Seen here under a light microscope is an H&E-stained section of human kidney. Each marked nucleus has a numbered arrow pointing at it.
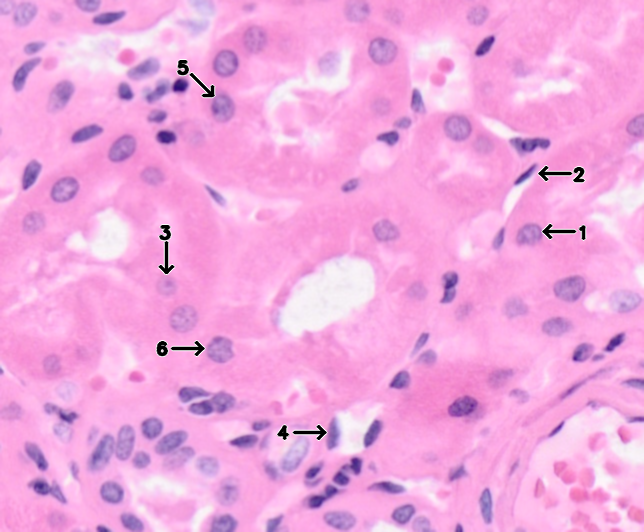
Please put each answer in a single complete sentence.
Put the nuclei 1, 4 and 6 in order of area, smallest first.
Smallest first, the nuclei run 4, 1, 6.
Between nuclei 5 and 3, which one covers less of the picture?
The smaller nucleus is 3, and 5 covers roughly 1.5 times its area.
